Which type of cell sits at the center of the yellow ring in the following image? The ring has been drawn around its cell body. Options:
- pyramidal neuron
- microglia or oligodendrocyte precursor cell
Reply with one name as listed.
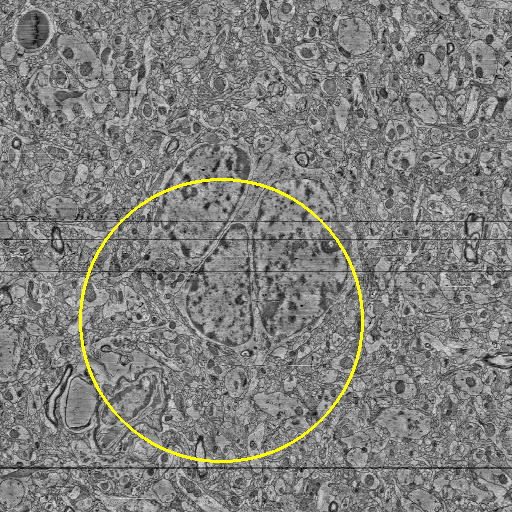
microglia or oligodendrocyte precursor cell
